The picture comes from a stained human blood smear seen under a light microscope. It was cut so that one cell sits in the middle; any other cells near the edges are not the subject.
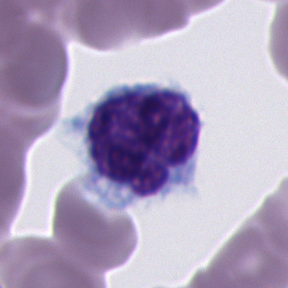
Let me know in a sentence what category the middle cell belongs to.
The centrally placed cell is classified as a monocyte.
